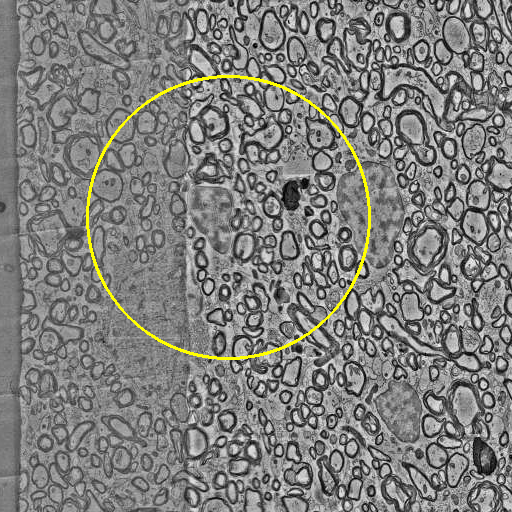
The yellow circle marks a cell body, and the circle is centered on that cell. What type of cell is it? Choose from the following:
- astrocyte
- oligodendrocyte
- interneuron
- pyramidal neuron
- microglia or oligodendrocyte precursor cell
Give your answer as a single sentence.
This cell body belongs to a microglial cell or oligodendrocyte precursor cell.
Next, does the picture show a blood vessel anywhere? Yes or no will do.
Yes, the image shows a blood vessel.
